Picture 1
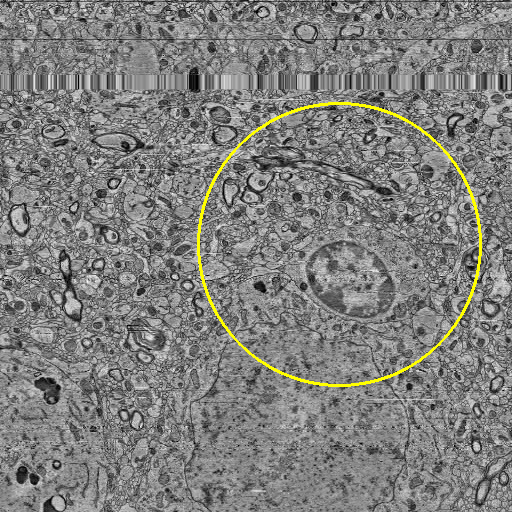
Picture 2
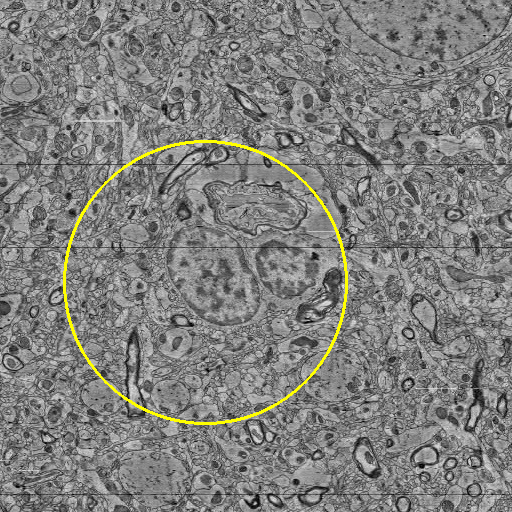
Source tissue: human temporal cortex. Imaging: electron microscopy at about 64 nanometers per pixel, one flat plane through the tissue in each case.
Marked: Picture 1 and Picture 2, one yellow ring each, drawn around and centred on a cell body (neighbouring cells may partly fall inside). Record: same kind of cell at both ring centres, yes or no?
yes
